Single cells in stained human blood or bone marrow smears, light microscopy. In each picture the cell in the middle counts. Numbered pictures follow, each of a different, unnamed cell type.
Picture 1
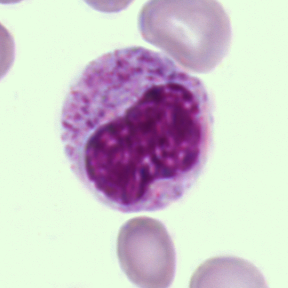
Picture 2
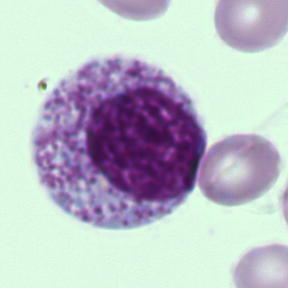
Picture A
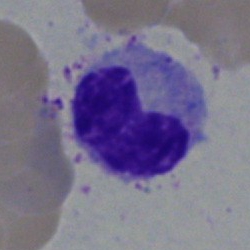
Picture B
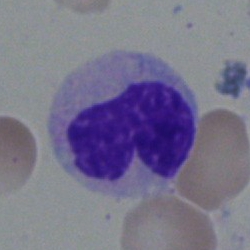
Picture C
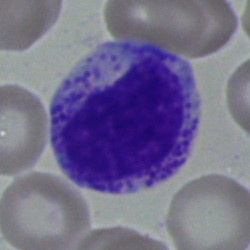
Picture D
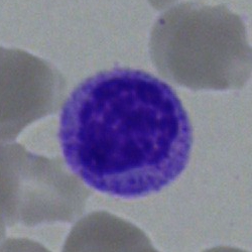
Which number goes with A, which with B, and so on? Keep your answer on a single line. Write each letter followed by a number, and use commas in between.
A 1, B 1, C 2, D 2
